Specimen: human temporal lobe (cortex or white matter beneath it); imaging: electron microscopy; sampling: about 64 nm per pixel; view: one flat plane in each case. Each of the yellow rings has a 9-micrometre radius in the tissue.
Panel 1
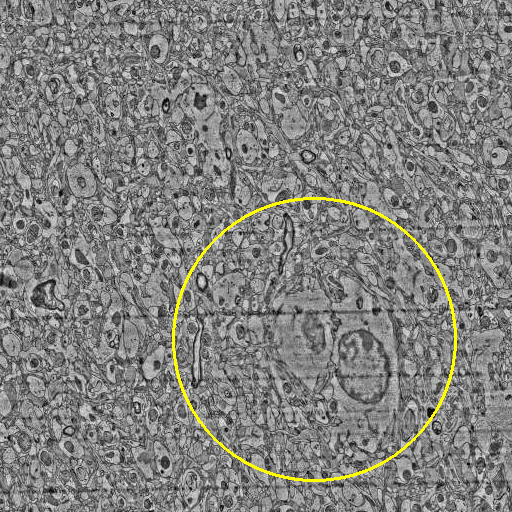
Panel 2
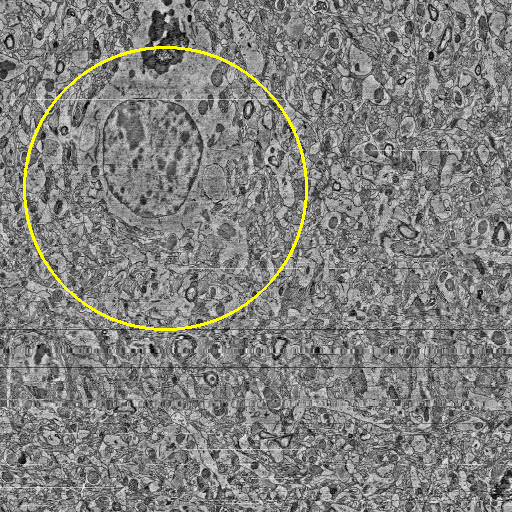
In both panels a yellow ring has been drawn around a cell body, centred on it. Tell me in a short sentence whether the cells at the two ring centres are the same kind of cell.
Yes, they are the same kind of cell.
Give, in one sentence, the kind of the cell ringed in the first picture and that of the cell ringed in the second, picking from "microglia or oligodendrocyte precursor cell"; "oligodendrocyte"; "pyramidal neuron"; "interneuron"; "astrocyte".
Both pictures show an astrocyte at the centre of the ring.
